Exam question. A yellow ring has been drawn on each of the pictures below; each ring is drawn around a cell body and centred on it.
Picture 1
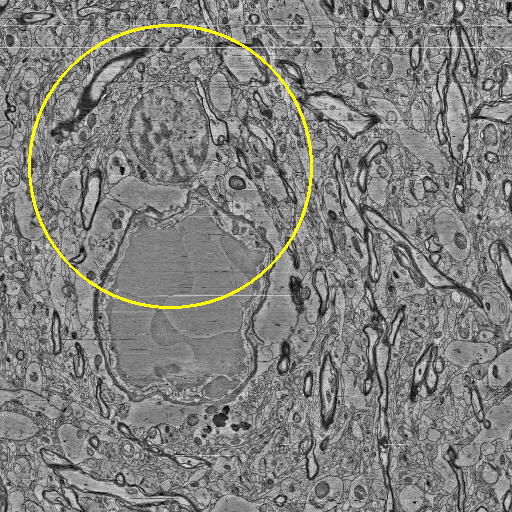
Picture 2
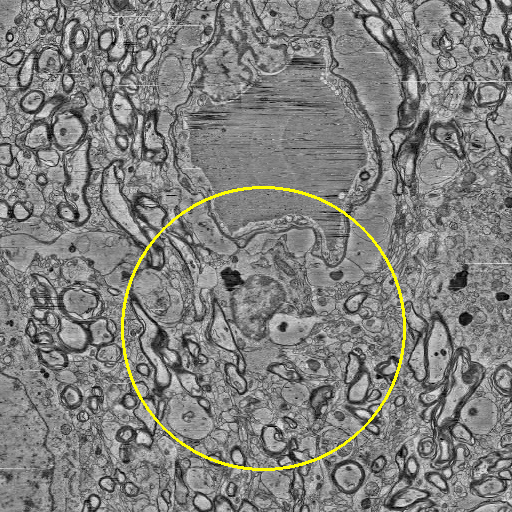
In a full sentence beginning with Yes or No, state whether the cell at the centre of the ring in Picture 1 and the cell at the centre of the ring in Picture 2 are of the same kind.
Yes, the two cells are of the same kind.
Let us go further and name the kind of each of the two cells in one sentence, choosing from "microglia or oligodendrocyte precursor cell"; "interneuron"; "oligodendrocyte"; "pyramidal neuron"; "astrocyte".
Each cell, in the first picture and the second, is an oligodendrocyte.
